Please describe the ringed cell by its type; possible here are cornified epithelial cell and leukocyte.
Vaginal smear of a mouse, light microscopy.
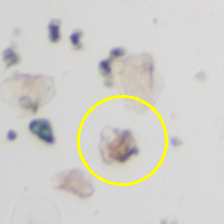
The yellow ring marks a cornified epithelial cell.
